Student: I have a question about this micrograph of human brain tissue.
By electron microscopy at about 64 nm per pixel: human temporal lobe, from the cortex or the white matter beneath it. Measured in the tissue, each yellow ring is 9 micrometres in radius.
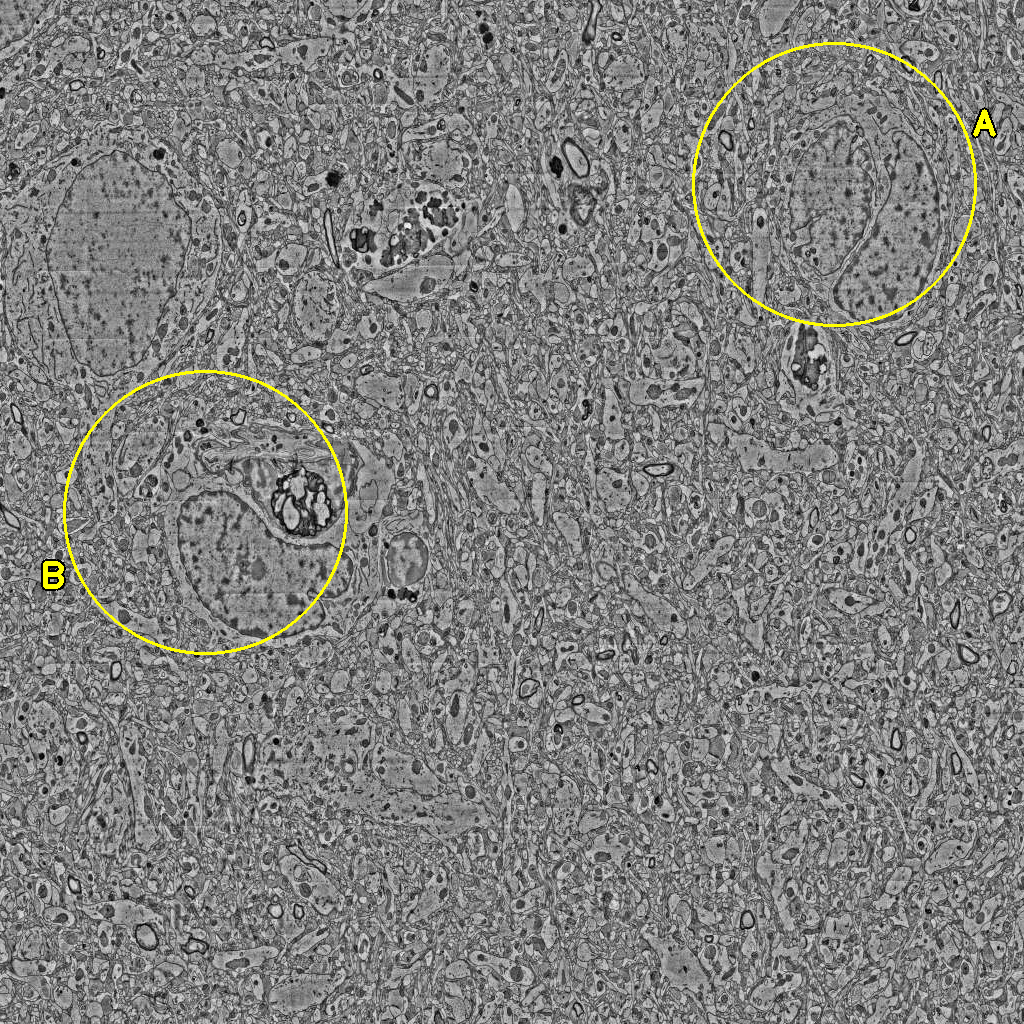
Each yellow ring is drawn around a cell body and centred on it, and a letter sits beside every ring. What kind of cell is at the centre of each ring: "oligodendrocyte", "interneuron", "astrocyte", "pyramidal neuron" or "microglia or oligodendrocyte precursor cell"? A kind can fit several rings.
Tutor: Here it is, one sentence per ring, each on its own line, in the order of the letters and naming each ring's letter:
For ring A, the cell at the centre is an interneuron.
For ring B, the cell at the centre is a microglial cell or oligodendrocyte precursor cell.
